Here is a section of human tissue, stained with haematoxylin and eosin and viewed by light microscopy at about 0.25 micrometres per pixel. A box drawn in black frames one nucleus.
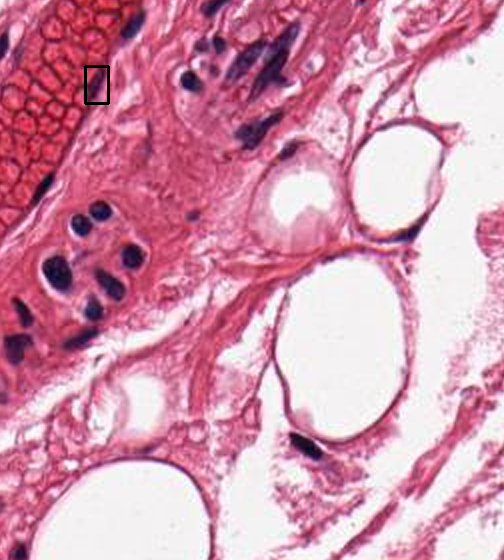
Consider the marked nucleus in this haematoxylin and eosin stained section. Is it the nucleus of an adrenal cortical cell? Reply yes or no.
no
